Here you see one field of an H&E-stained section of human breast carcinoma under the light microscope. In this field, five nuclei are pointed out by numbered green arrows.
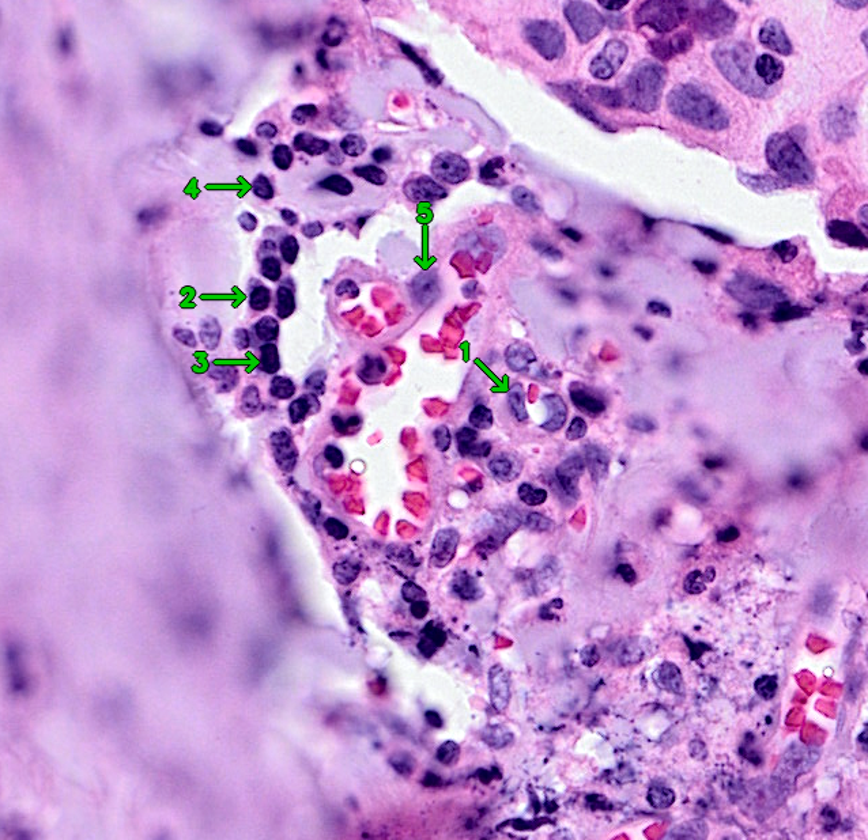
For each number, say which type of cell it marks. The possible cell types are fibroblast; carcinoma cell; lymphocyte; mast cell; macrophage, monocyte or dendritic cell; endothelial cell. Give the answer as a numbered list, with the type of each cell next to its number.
1. endothelial cell
2. lymphocyte
3. lymphocyte
4. lymphocyte
5. endothelial cell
